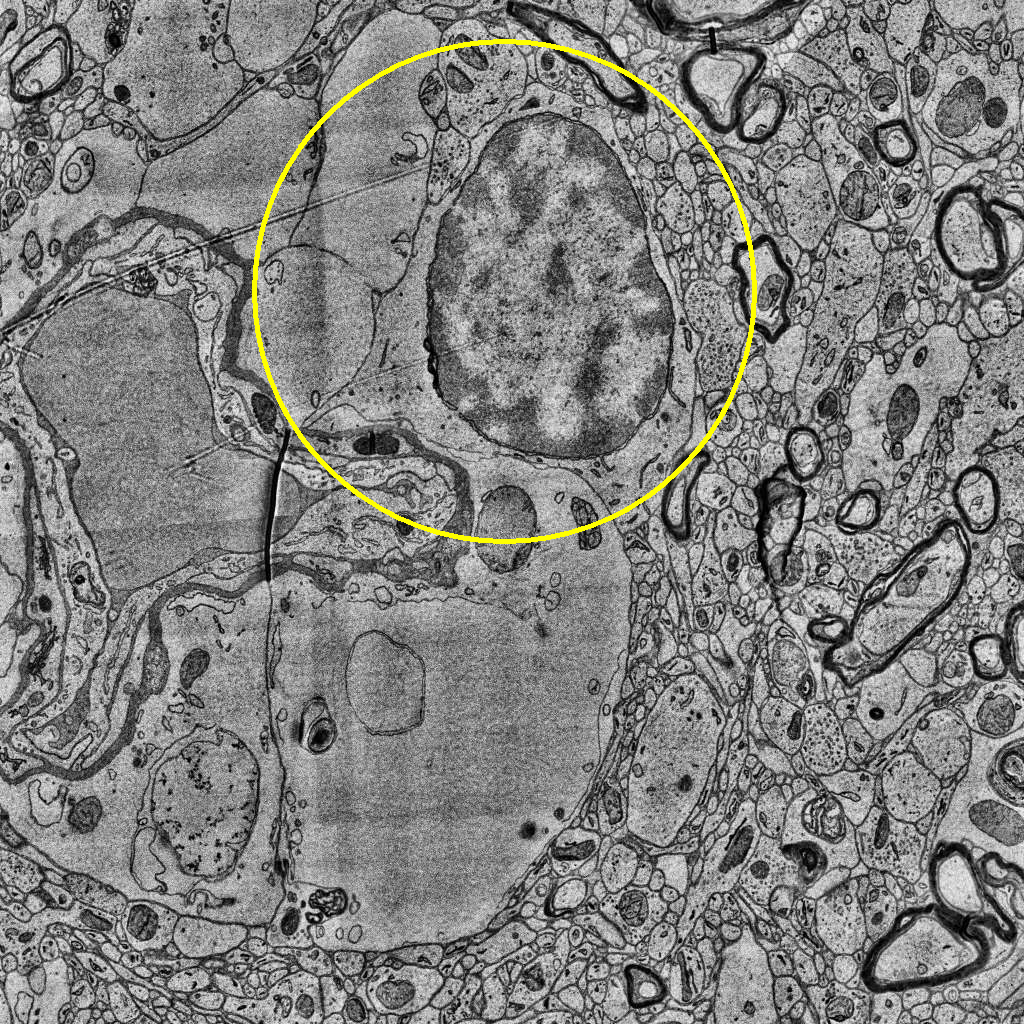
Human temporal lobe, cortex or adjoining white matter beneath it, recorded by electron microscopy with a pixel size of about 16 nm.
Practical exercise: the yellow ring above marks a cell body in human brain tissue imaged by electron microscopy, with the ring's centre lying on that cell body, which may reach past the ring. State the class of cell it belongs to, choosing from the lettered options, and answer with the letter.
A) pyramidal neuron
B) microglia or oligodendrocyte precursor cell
B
